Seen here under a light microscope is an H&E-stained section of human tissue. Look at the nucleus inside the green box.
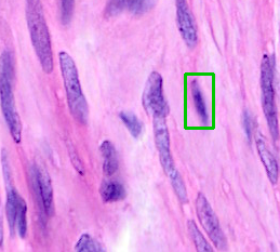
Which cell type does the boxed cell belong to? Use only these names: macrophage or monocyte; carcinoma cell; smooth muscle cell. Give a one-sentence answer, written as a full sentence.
Labelled by cell type, the boxed cell is a smooth muscle cell.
